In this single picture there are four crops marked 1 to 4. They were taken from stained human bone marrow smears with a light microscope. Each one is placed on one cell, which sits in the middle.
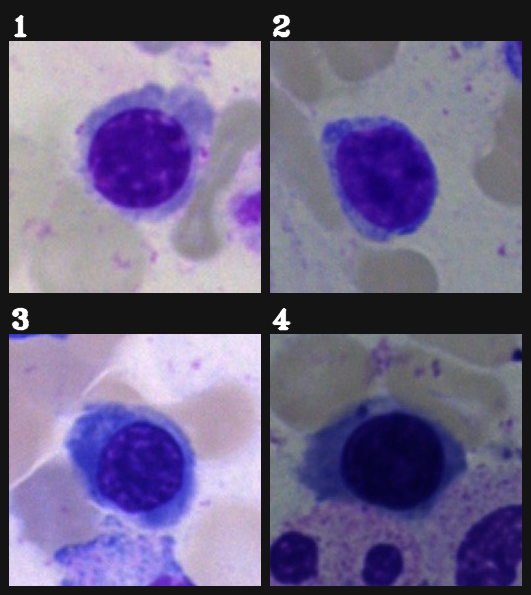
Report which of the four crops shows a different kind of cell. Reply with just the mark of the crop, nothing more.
2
